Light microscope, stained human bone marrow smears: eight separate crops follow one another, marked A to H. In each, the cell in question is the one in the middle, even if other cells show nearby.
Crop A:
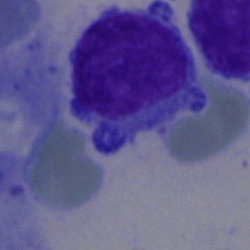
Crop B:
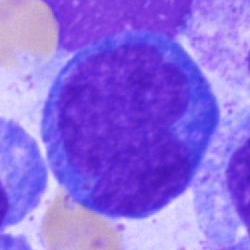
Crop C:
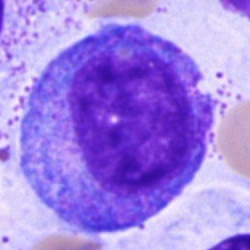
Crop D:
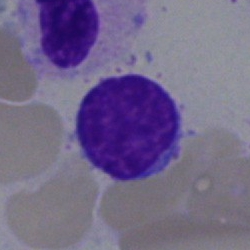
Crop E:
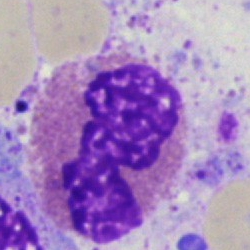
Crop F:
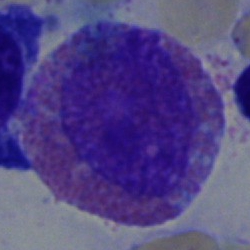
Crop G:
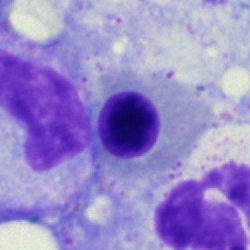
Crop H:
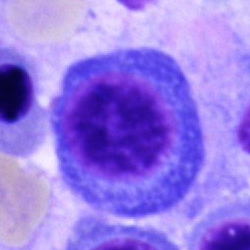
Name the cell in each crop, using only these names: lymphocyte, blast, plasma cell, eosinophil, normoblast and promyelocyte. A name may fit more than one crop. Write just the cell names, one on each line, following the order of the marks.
lymphocyte
blast
promyelocyte
lymphocyte
eosinophil
eosinophil
normoblast
plasma cell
